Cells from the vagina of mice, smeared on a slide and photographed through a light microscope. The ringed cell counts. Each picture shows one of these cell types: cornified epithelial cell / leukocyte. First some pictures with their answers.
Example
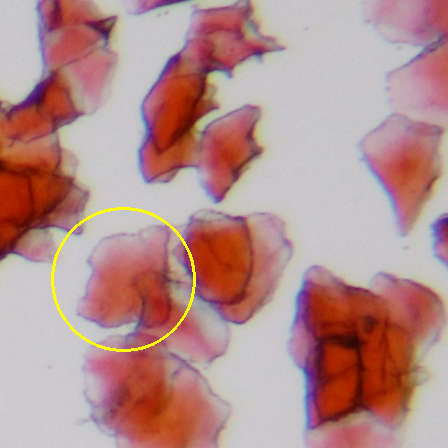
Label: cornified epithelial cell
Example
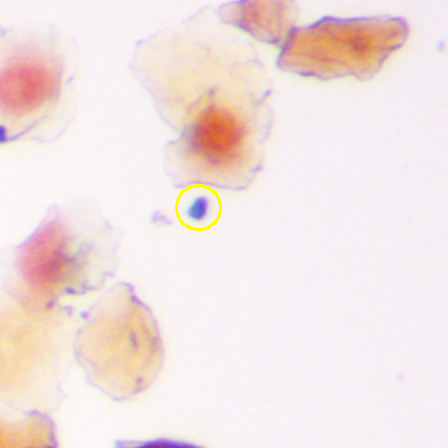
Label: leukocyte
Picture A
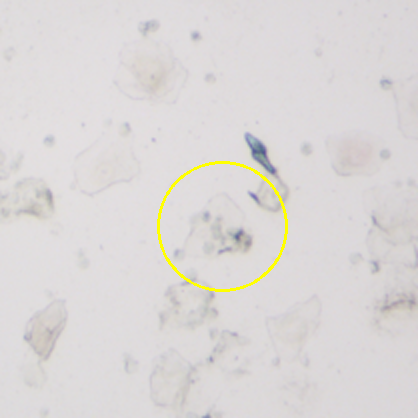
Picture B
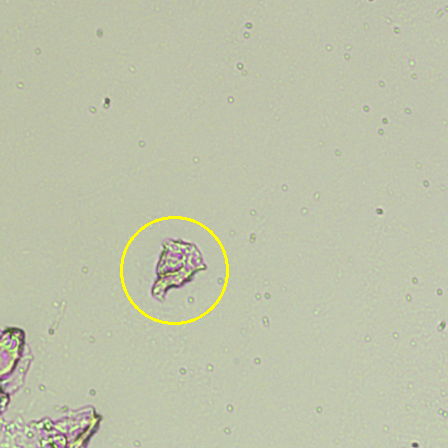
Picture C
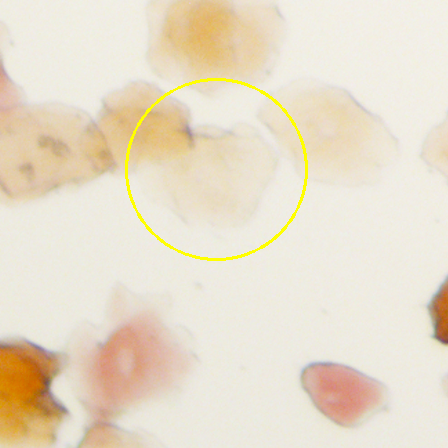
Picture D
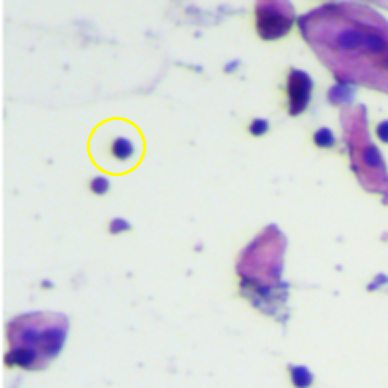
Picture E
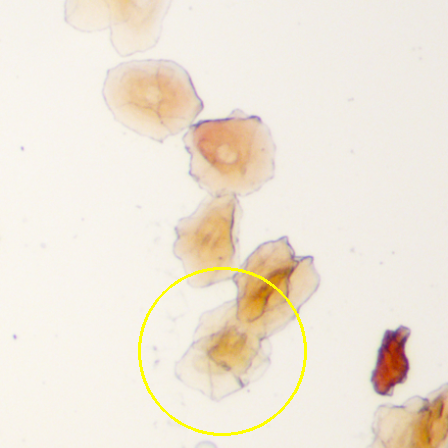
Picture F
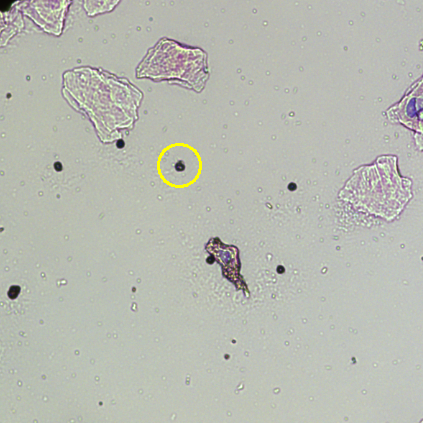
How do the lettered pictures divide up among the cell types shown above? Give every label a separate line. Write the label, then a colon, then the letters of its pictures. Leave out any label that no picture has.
cornified epithelial cell: A, B, C, E
leukocyte: D, F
